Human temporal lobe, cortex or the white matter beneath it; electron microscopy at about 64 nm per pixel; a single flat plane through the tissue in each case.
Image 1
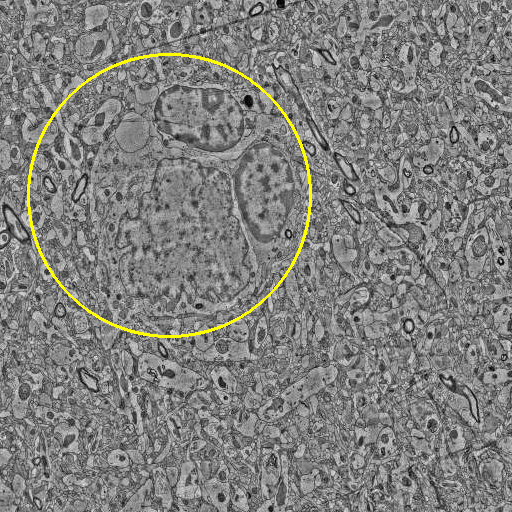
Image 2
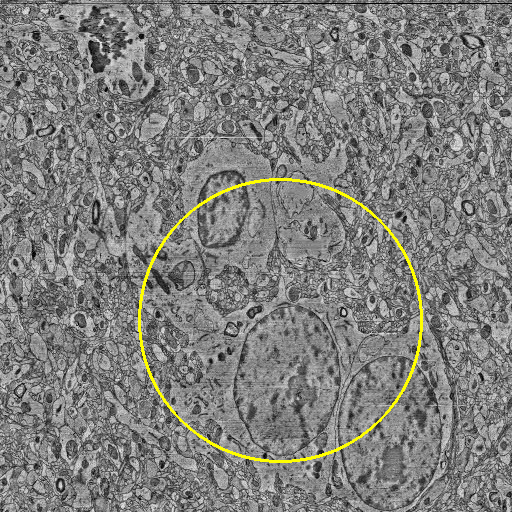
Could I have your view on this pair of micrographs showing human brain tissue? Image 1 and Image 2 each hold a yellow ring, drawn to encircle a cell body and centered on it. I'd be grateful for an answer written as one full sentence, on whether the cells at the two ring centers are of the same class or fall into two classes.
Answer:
The cells at the centers of the two rings fall into two classes.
